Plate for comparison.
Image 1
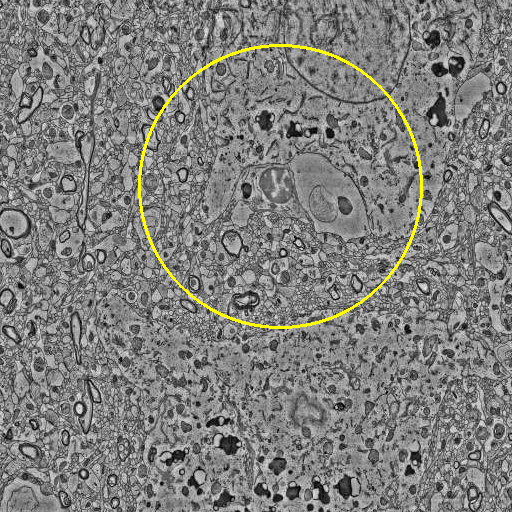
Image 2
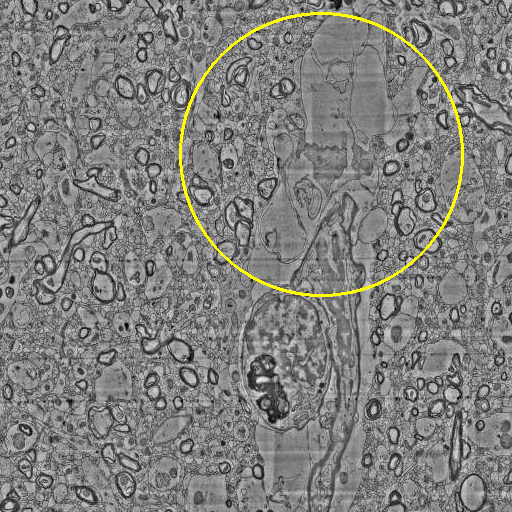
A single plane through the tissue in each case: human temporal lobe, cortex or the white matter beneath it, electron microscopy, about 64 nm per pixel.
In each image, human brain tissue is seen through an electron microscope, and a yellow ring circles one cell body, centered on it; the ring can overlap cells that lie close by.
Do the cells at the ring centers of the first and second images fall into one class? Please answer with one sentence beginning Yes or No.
No, the first and second images show two classes of cell at the ring centers.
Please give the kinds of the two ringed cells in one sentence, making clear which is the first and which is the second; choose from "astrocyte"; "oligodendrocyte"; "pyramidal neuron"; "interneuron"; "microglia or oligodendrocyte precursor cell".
In the second picture the ringed cell is an oligodendrocyte; in the first it is a microglial cell or oligodendrocyte precursor cell.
